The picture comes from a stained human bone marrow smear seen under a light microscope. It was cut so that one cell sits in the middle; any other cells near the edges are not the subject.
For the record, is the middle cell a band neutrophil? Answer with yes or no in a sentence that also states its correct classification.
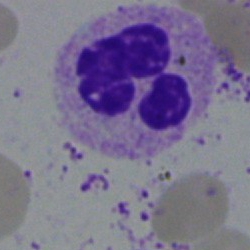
No, the cell in the middle is categorised as a segmented neutrophil, not a band neutrophil.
